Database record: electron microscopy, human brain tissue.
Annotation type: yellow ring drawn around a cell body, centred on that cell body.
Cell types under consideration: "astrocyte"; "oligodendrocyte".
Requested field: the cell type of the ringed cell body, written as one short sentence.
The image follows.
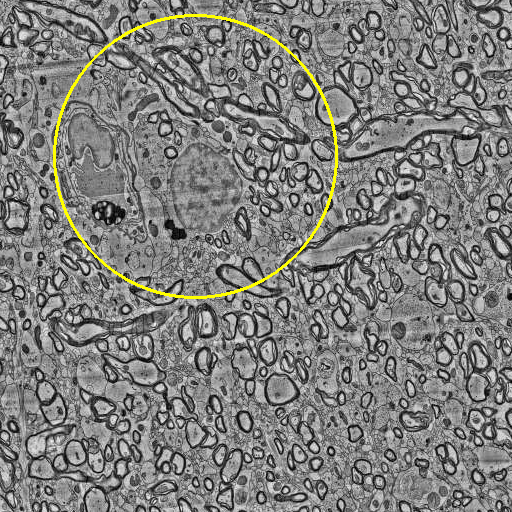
The ringed cell body represents an oligodendrocyte.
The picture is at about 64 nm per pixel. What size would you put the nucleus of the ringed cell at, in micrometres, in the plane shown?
The nucleus measures about 5 micrometers across in this plane.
